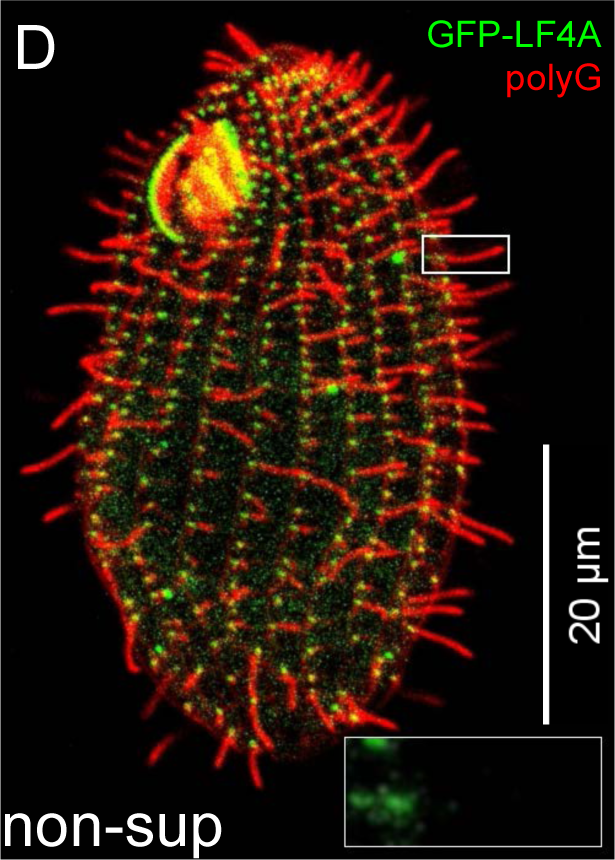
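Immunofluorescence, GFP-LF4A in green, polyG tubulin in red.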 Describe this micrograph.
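A single oval ciliated cell is seen, covered by many thin red cilia that arise along longitudinal rows running the length of the cell. Small green dots line these rows, one at the base of each cilium, so the bases of the cilia are marked in green while the ciliary shafts are mostly red. Near the narrower anterior end lies a curved oral structure outlined in green and orange. Scattered faint green speckles fill the cell body. The inset shows the green label alone near a cilium, concentrated at its base.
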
